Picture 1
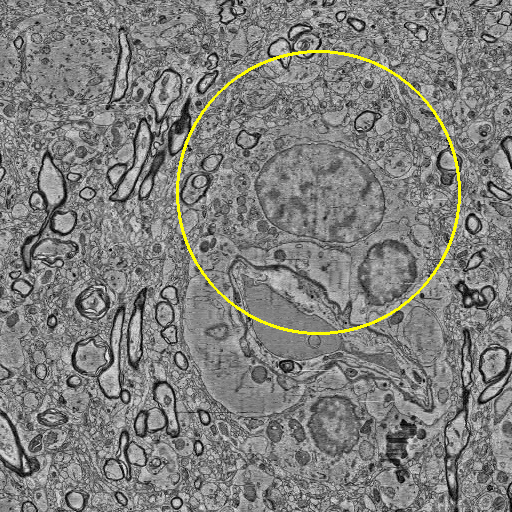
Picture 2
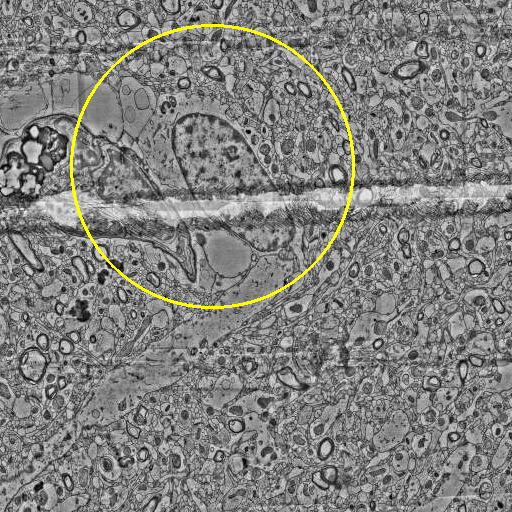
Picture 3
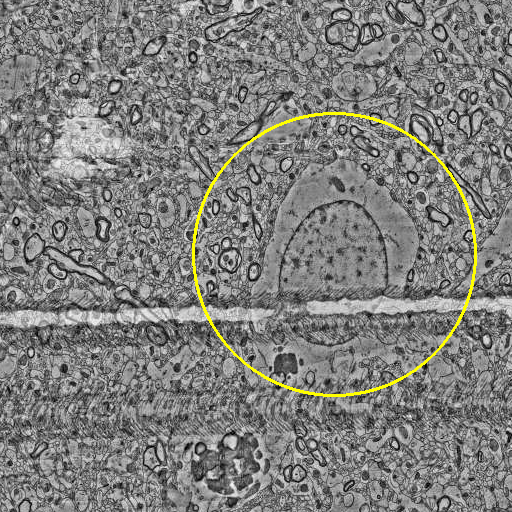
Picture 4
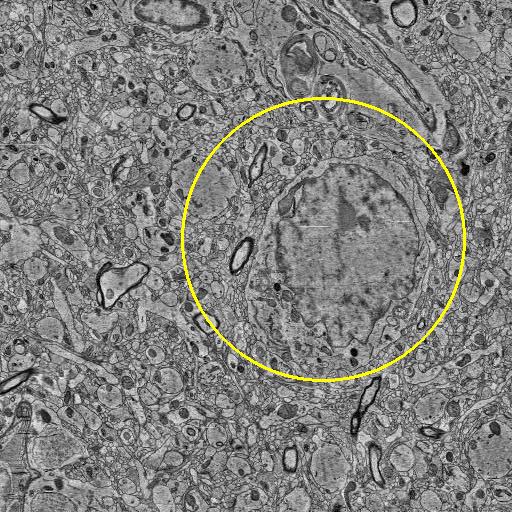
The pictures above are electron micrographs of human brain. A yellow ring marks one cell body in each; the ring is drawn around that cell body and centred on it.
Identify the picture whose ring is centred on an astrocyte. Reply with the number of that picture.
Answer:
3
